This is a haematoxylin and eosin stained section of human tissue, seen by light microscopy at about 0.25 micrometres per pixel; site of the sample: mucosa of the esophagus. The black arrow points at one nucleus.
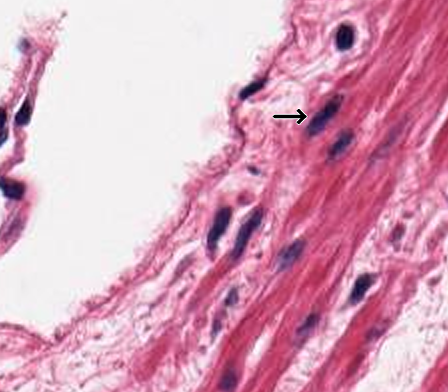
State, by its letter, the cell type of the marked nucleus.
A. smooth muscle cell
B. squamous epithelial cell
A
